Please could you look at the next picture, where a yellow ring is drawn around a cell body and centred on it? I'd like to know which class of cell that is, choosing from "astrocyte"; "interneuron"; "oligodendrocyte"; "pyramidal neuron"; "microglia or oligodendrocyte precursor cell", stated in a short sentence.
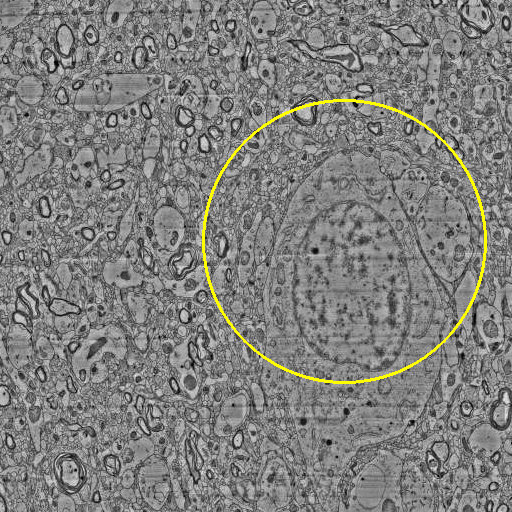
The ring's centre lies on an interneuron.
